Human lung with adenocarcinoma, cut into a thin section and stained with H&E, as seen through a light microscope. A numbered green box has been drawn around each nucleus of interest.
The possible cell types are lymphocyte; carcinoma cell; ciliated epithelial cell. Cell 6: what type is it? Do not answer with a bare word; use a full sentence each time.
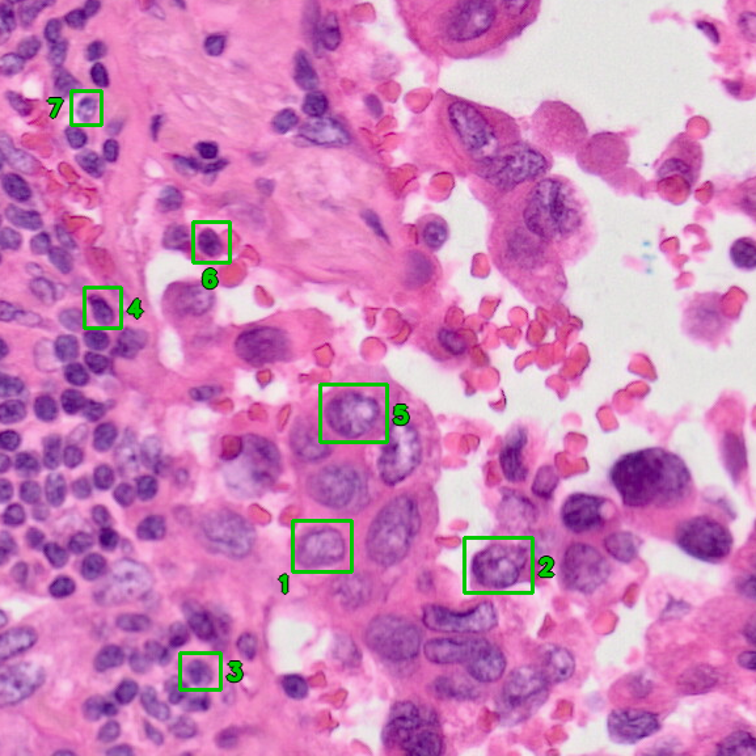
The cell pointed out as number 6 is a lymphocyte.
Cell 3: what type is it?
Numbered cell 3 is a lymphocyte in this tissue section.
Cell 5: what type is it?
What the number 5 marks in this field is a carcinoma cell.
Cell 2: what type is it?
Cell 2 of the marked set is a carcinoma cell.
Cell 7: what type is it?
Cell 7 of the marked set is a lymphocyte.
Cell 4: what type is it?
The cell identified by the number 4 is a lymphocyte.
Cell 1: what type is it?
The identity of cell 1 is that of a carcinoma cell.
